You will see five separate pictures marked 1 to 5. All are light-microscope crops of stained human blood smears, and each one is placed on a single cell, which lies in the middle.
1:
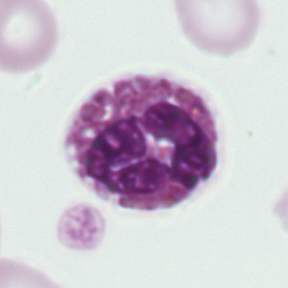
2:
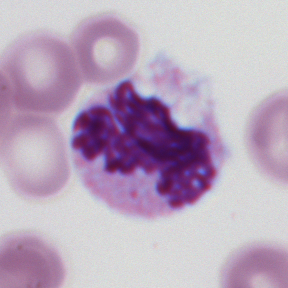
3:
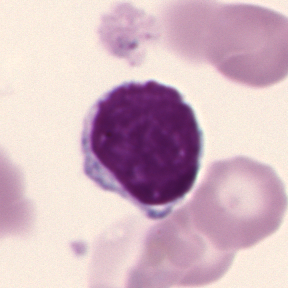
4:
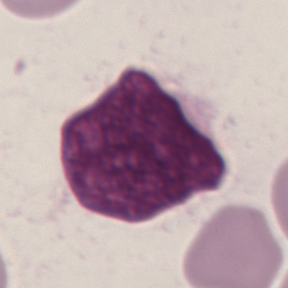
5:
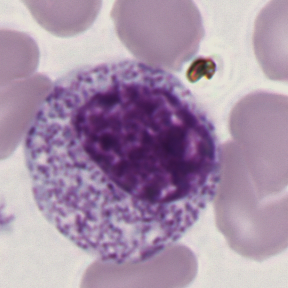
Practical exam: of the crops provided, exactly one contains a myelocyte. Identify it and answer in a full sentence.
Of the crops given, a myelocyte is found in crop 5.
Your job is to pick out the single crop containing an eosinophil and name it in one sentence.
Identified crop: 1, the one that shows an eosinophil.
